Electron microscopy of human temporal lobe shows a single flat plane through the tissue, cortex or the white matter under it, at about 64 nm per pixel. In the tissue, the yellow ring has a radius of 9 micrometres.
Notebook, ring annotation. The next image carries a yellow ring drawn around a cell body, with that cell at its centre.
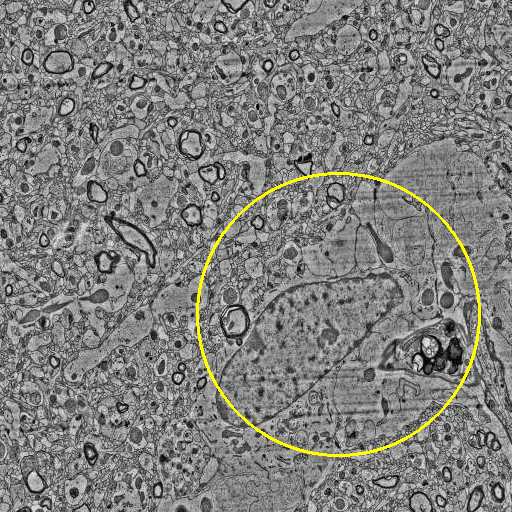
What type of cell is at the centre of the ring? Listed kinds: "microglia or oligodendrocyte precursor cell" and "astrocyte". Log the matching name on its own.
microglia or oligodendrocyte precursor cell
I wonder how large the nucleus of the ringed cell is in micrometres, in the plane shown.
The nucleus is about 12 micrometres in length and 6 in width, clearly longer than it is wide in this plane.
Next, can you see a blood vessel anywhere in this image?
Yes.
